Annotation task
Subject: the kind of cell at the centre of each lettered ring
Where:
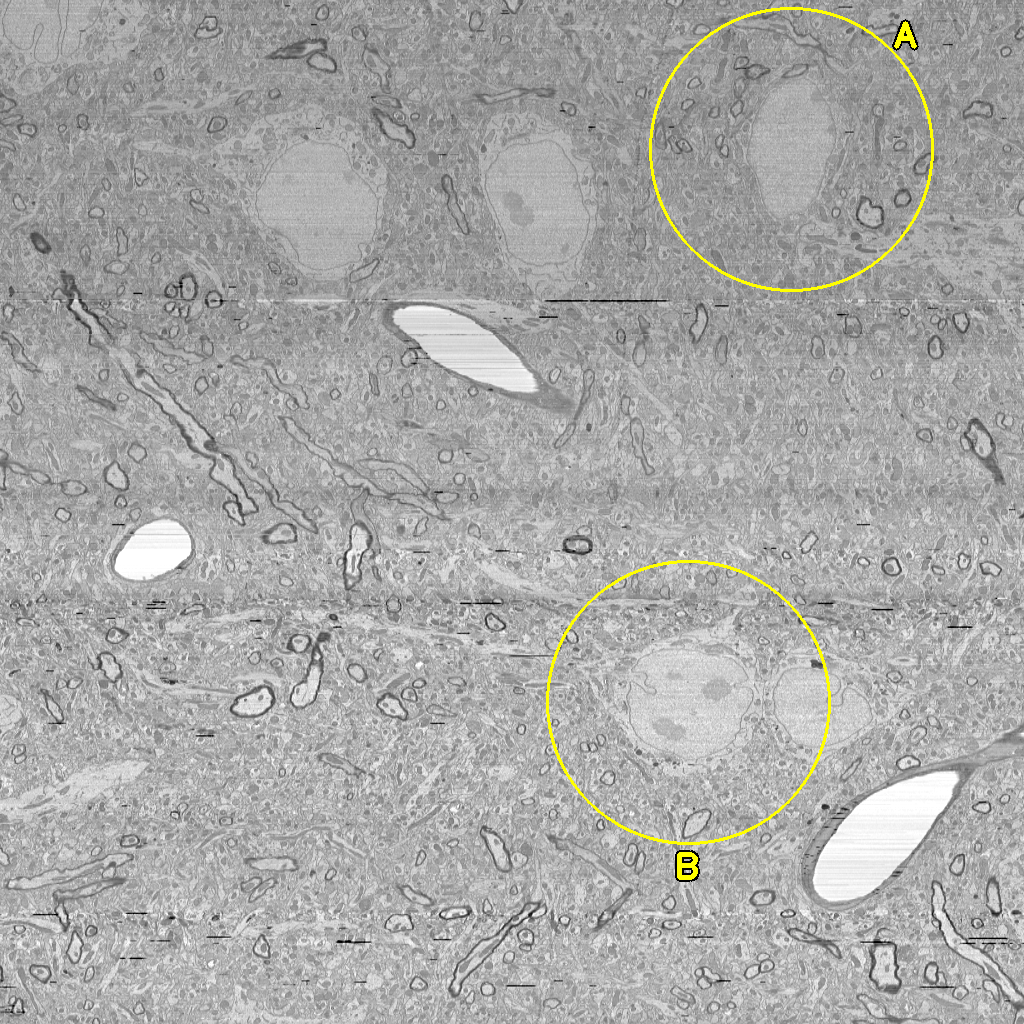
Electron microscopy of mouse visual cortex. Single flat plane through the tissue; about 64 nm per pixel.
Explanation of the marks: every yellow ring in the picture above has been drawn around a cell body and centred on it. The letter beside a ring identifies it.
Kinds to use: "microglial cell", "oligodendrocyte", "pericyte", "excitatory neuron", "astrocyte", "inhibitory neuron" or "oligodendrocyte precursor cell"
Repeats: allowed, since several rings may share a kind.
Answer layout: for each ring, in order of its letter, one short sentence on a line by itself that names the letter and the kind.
The ring lettered A is drawn around an astrocyte.
The ring lettered B is drawn around an excitatory neuron.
